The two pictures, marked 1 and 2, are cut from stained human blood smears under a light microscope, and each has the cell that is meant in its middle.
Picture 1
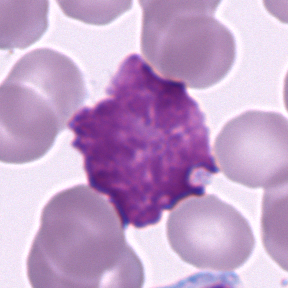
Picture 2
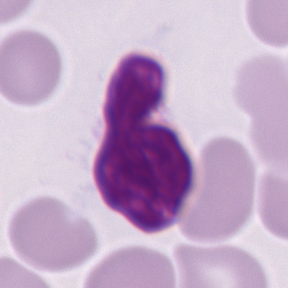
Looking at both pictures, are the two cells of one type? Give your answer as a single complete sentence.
Yes, both cells are smudge cells.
